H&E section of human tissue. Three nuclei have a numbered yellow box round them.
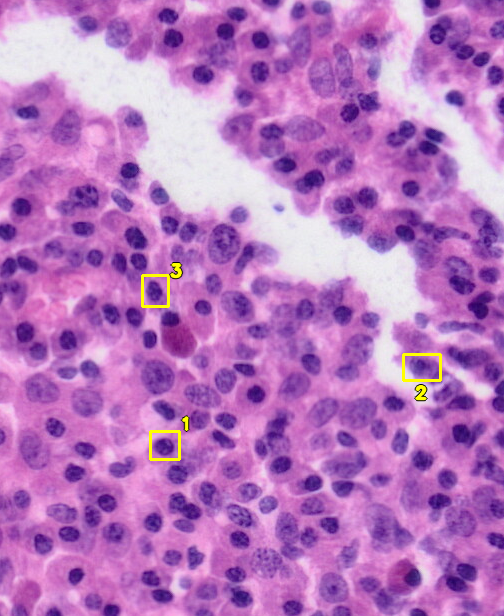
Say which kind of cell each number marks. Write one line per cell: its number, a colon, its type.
1: plasma cell
2: squamous epithelial cell
3: plasma cell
